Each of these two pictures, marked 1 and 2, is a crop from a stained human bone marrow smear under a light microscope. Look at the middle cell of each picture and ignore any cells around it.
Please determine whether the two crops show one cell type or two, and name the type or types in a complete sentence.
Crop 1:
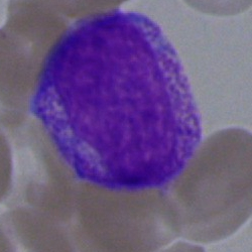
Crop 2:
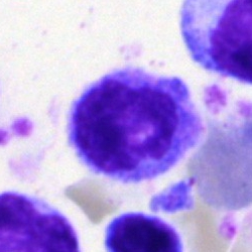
No, crop 1 is the one with a myelocyte; crop 2 has a monocyte.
